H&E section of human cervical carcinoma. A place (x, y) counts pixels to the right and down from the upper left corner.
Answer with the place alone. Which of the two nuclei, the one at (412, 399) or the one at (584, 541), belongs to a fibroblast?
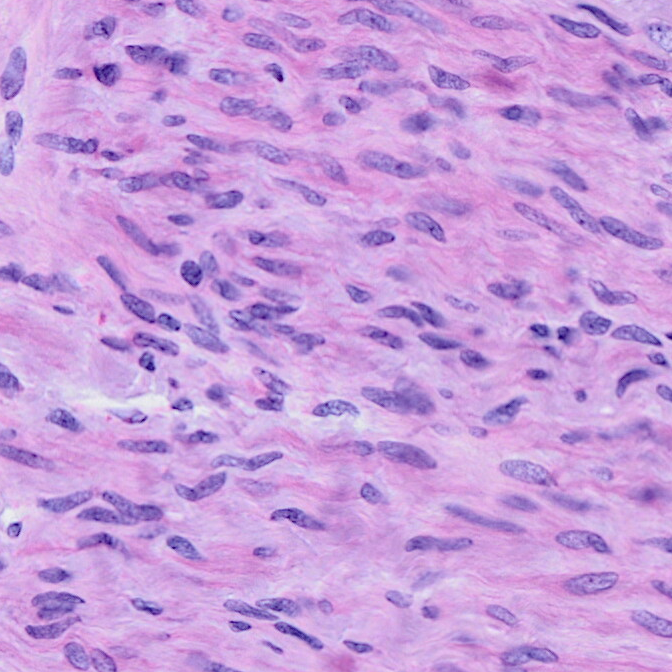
(412, 399)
